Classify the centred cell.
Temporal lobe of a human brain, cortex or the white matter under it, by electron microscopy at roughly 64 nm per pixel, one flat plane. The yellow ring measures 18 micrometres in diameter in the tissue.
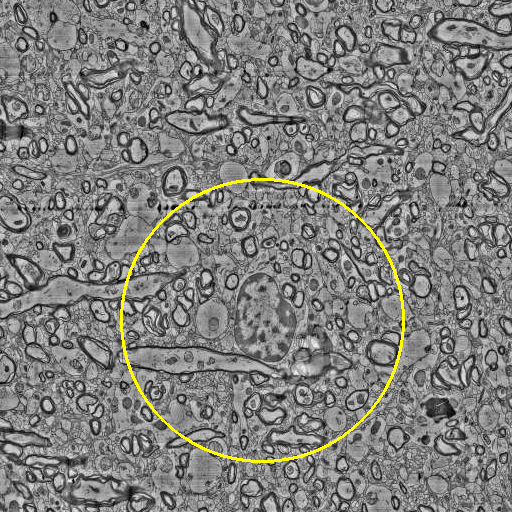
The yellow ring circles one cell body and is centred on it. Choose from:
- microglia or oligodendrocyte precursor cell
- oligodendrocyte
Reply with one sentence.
The ring is centred on a microglial cell or oligodendrocyte precursor cell.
